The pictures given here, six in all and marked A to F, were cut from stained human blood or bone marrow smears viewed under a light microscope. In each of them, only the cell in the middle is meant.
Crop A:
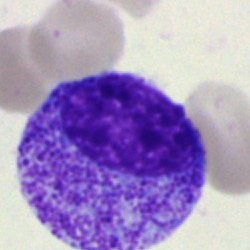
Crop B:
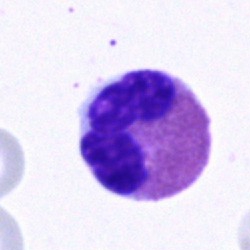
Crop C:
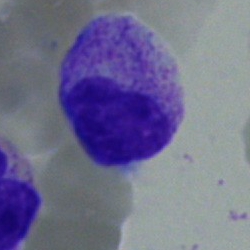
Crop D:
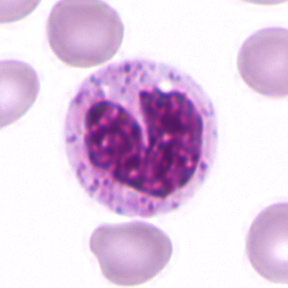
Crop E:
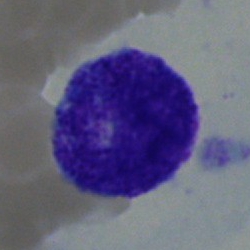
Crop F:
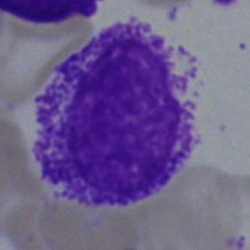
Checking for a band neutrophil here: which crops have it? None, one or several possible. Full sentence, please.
Crop D is the one and only crop with a band neutrophil.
